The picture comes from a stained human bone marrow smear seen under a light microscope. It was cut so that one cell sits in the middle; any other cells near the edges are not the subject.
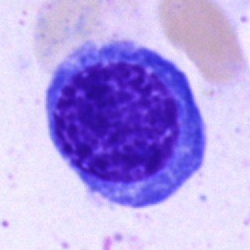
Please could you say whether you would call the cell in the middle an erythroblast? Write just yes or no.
yes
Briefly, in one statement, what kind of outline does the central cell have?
From every side, the cell boundary is smooth and free of projections.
